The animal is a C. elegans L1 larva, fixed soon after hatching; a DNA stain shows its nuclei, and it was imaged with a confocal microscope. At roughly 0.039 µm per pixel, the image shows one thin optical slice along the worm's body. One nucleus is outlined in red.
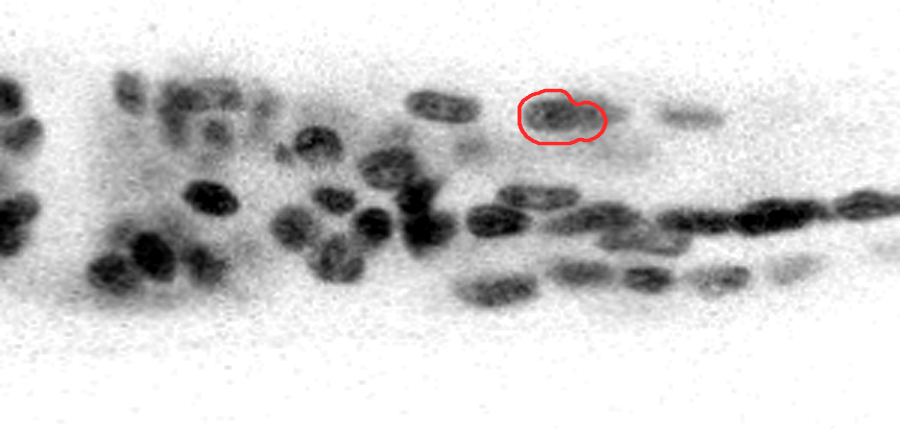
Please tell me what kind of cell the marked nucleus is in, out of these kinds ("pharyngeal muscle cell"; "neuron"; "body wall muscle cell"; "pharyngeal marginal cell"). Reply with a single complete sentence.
The marked nucleus belongs to a body wall muscle cell.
